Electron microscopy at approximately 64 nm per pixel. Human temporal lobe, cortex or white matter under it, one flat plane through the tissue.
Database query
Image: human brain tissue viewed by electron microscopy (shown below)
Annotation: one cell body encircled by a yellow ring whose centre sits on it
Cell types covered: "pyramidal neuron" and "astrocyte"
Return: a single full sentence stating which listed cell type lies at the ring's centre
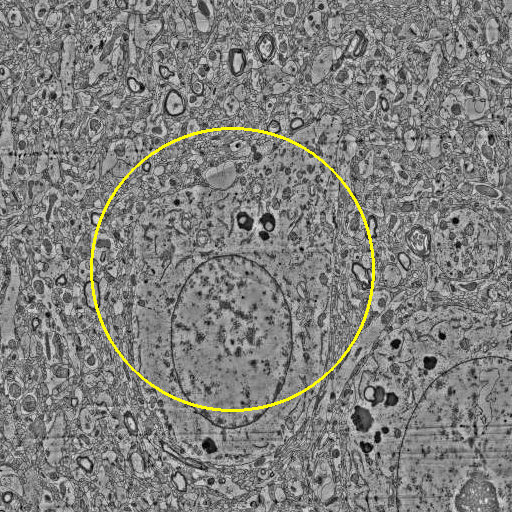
In the image, the cell lying at the ring's centre is a pyramidal neuron.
